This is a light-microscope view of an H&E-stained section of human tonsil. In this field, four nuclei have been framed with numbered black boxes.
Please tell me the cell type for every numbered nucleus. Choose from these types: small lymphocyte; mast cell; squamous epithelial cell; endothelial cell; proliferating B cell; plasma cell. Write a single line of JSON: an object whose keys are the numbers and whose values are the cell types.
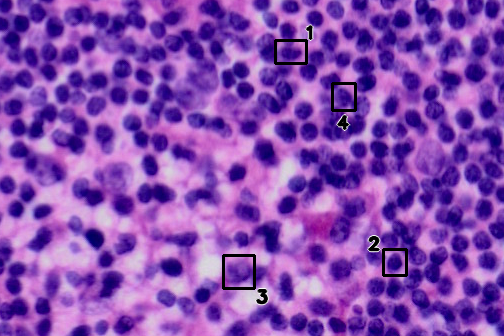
{"1": "small lymphocyte", "2": "small lymphocyte", "3": "proliferating B cell", "4": "small lymphocyte"}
